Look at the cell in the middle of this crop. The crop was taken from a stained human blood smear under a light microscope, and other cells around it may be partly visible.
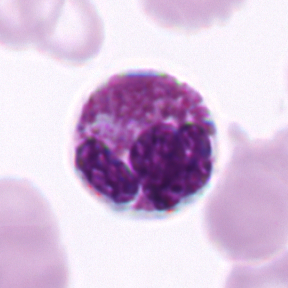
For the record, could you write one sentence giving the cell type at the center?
The crop centres on a single cell, and that cell is an eosinophil.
